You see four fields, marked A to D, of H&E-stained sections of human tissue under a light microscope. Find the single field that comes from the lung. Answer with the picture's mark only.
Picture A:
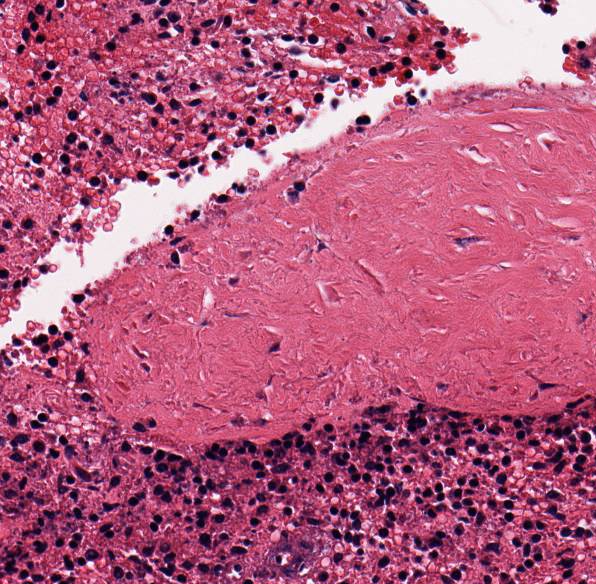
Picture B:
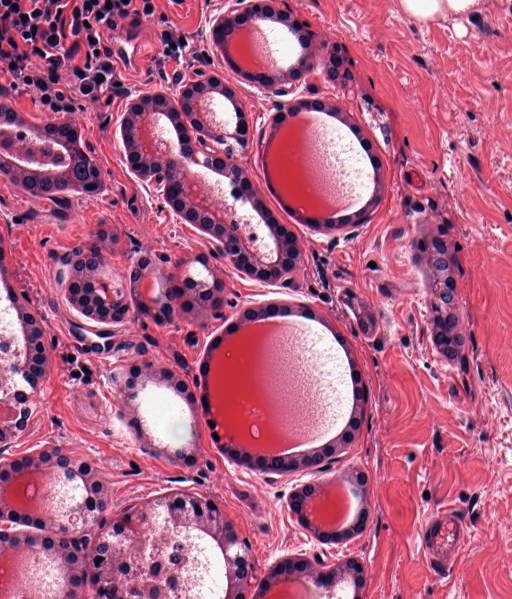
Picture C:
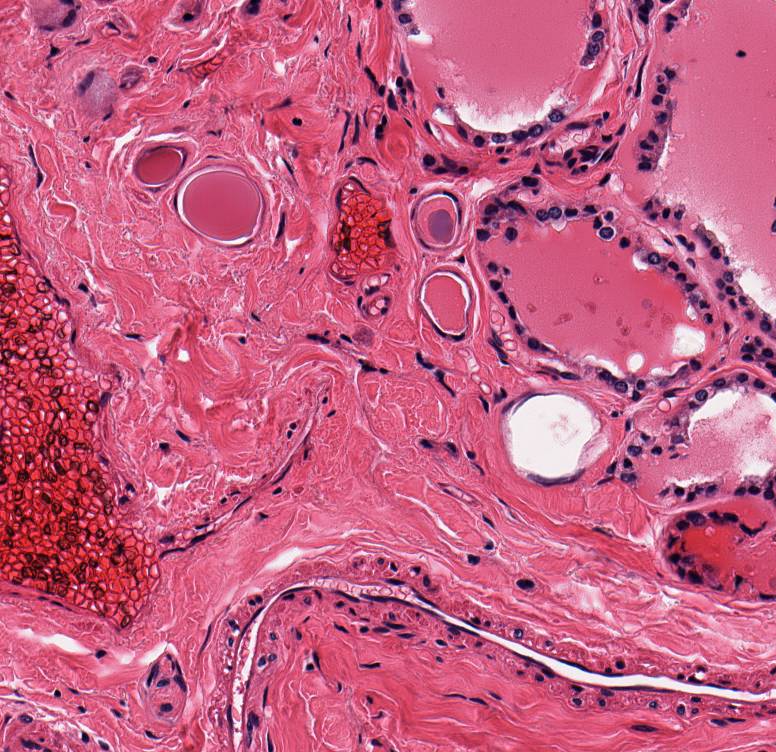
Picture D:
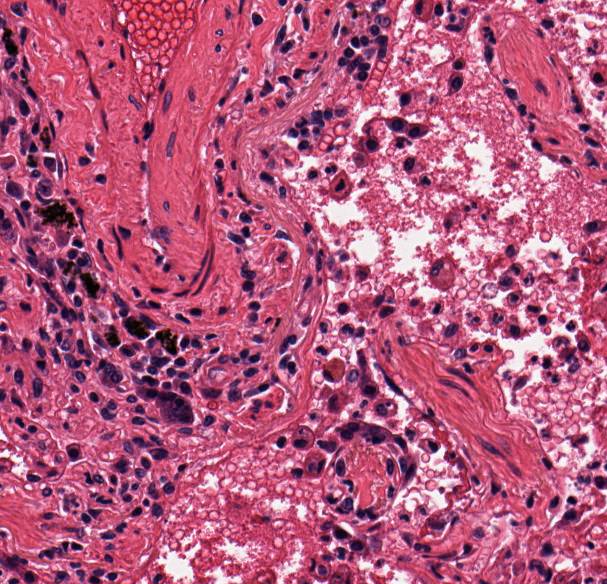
D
